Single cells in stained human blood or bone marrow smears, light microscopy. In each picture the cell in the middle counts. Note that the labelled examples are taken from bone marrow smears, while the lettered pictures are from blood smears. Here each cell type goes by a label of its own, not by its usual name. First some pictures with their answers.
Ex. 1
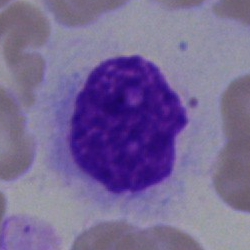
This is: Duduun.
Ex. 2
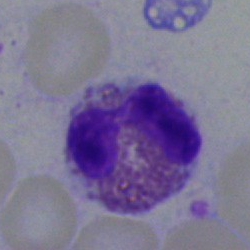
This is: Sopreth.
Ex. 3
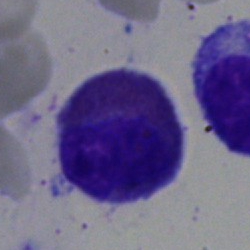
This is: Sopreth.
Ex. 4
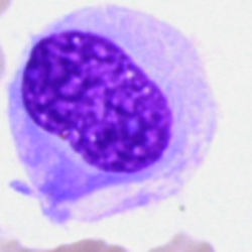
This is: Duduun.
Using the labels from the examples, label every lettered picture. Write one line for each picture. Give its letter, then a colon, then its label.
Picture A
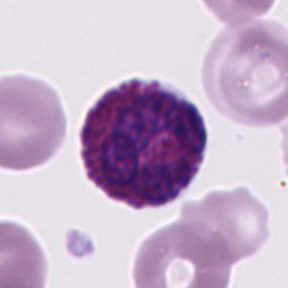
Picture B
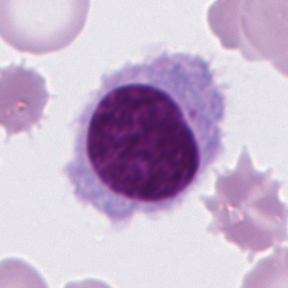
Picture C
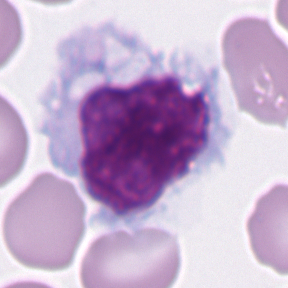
A: Sopreth.
B: Duduun.
C: Duduun.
